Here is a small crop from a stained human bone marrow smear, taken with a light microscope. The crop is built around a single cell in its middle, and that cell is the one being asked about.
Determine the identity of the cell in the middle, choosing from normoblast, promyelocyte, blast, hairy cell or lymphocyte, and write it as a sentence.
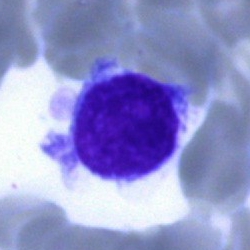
The cell shown in the center of this light-microscope crop is a hairy cell.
